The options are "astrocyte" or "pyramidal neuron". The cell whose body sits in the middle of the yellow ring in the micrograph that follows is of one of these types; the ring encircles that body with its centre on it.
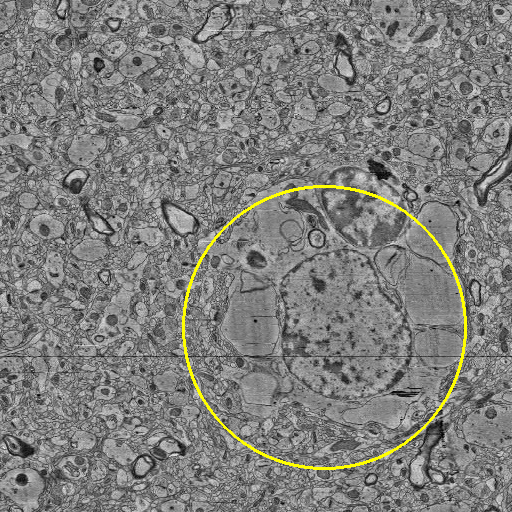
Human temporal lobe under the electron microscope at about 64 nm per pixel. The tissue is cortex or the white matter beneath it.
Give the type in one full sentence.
Going by the micrograph, the cell centred in the yellow ring is an astrocyte.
